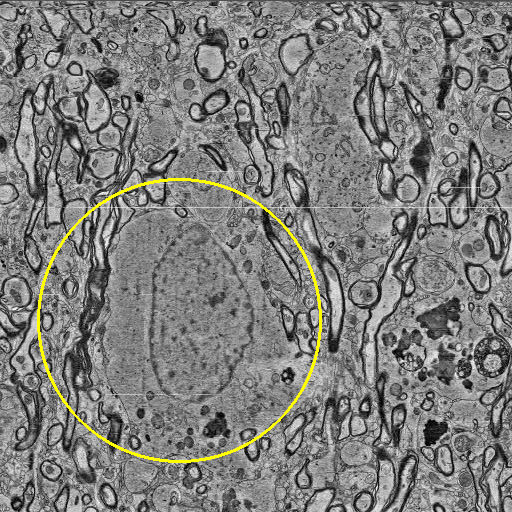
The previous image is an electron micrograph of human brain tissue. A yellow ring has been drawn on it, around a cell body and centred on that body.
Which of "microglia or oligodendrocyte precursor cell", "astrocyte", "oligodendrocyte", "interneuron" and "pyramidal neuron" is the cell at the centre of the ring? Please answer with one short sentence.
The cell body at the centre of the ring belongs to an astrocyte.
